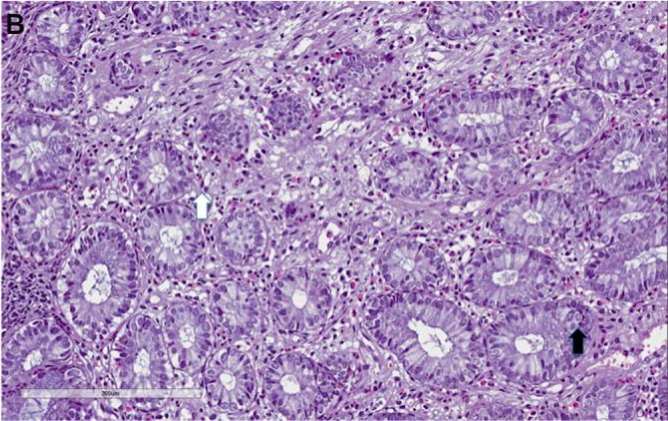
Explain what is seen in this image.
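Colonic mucosa is cut across so that crypts appear as round and oval rings of tall columnar epithelium around small pale lumens. The epithelial nuclei are elongated and stand in a palisade along the base of each crypt, with pale purple cytoplasm toward the lumen. Between the crypts the lamina propria is filled with mixed inflammatory cells, among them many with bright pink granular cytoplasm, and smaller round cells with dark nuclei.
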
